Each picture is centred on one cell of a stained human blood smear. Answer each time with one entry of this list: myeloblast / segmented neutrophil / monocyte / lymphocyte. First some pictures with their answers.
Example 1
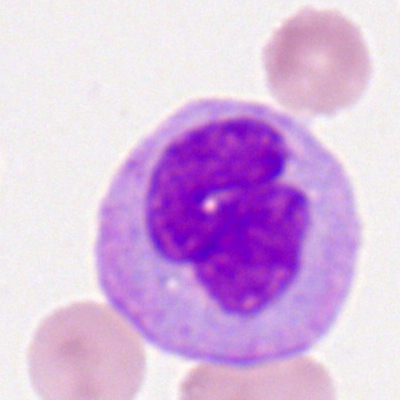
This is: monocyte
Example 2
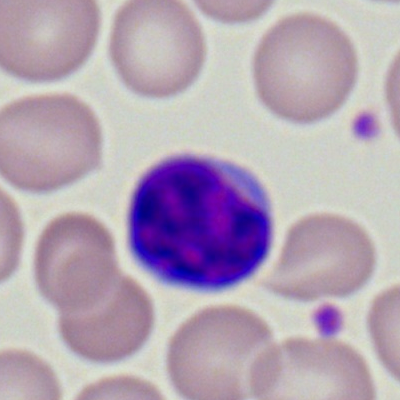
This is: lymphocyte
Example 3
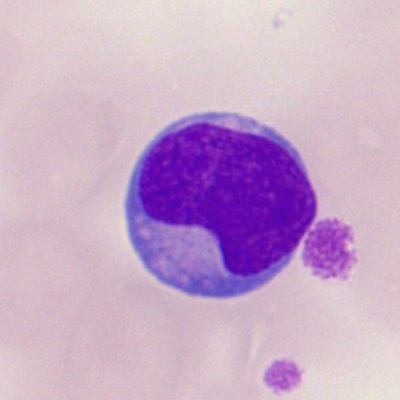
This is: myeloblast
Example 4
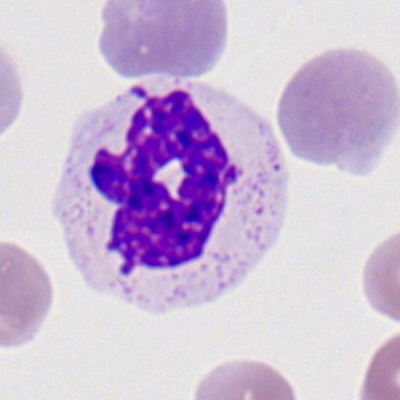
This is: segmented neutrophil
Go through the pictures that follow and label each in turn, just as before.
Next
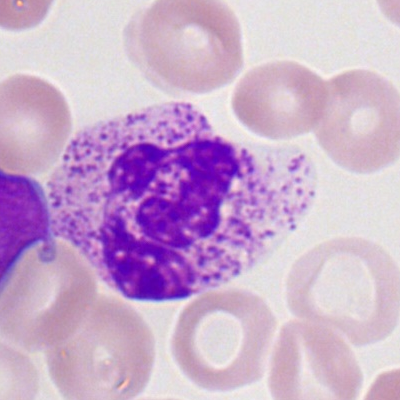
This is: segmented neutrophil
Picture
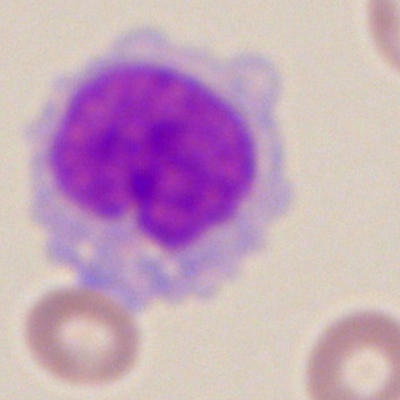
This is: monocyte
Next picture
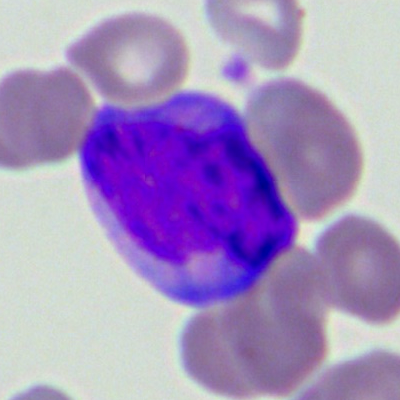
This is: myeloblast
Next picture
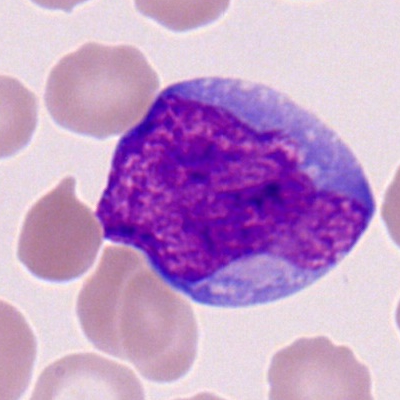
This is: myeloblast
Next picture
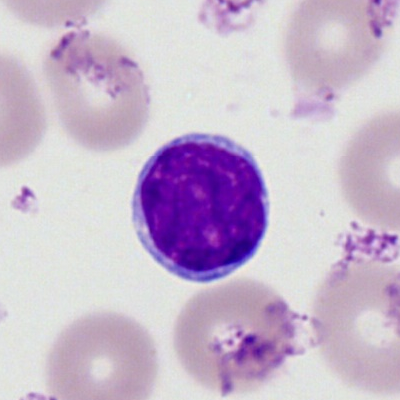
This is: lymphocyte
